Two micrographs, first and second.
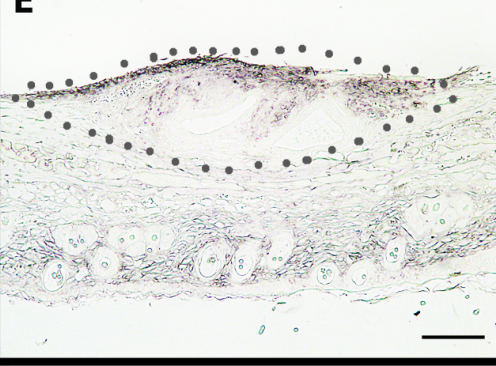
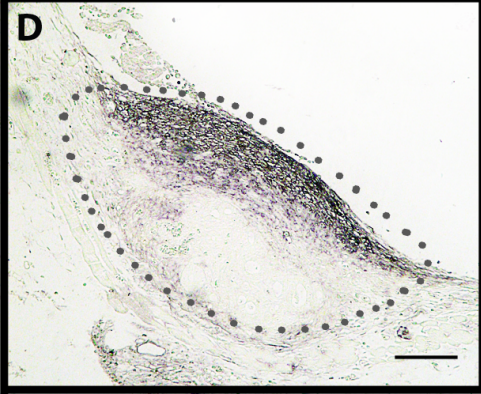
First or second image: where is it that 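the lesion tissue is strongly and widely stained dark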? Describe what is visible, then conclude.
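The second image. Second image: a large part of the outlined lesion is densely stained dark grey-black.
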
